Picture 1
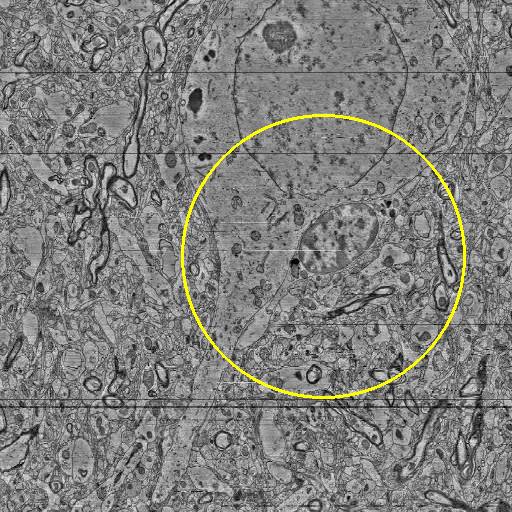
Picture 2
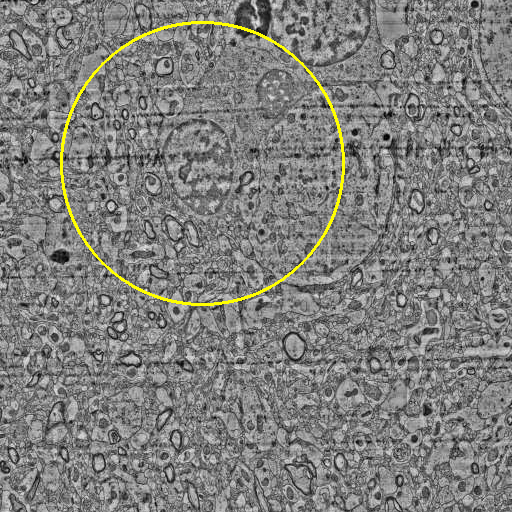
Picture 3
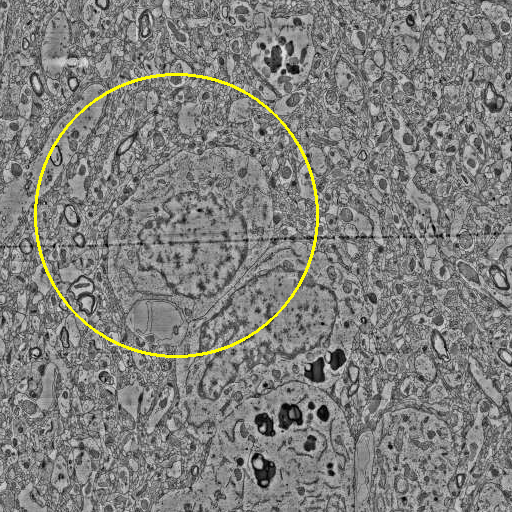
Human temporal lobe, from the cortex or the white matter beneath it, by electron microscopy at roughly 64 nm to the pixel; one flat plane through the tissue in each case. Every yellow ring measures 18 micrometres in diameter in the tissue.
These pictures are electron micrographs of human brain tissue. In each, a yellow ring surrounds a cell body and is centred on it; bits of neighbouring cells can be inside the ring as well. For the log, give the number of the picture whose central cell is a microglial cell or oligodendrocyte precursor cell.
1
